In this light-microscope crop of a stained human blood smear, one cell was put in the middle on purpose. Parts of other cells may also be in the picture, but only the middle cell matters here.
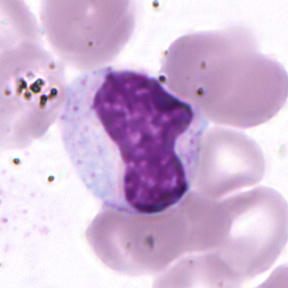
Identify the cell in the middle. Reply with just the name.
metamyelocyte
